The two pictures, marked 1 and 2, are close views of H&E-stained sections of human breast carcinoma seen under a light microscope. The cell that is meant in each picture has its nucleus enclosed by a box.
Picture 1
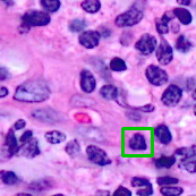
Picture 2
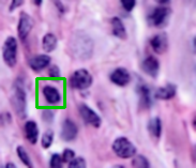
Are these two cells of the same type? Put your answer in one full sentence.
Yes; the cells in both pictures are lymphocytes.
